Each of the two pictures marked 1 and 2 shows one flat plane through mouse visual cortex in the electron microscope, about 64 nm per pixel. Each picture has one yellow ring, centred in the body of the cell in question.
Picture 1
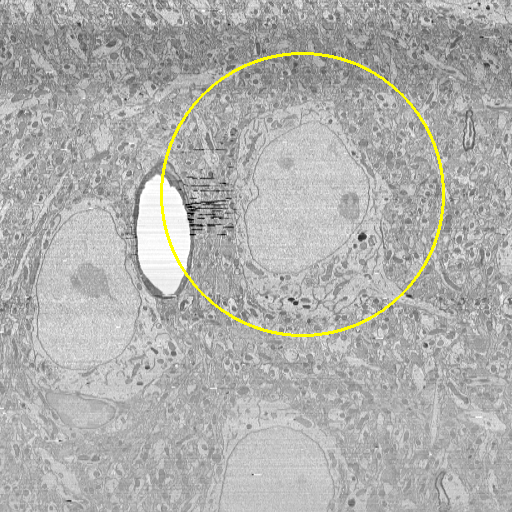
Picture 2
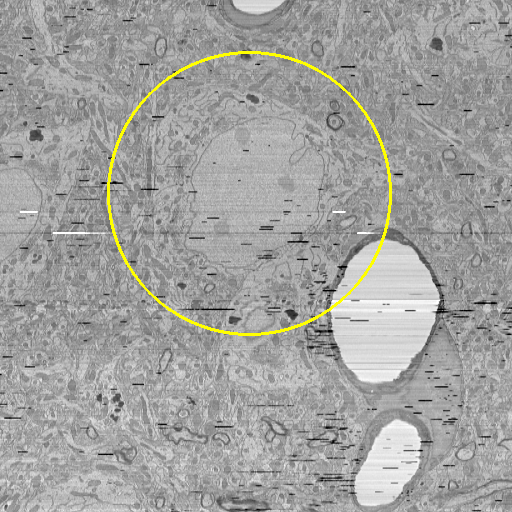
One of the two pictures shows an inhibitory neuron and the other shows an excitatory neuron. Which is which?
The cell in picture 1 is an excitatory neuron, and the one in picture 2 is an inhibitory neuron.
